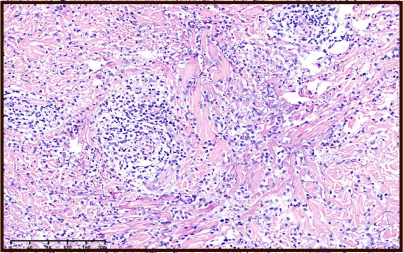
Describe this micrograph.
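Dermis with granulomatous inflammation in which pale, elongated cells with oval nuclei line up around altered pink collagen. Clusters of small round dark-nucleated lymphocytes lie among and around the pale cells.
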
